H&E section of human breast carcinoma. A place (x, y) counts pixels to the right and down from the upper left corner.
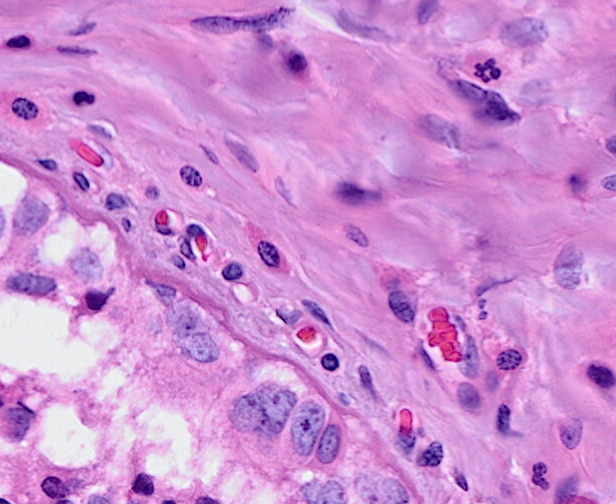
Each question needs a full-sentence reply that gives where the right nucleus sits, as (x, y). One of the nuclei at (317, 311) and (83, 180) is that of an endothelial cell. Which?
The one at (83, 180) is the nucleus belonging to an endothelial cell, not the other one.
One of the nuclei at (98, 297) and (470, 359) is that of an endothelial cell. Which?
Among the two nuclei, the one lying at (470, 359) is part of an endothelial cell.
